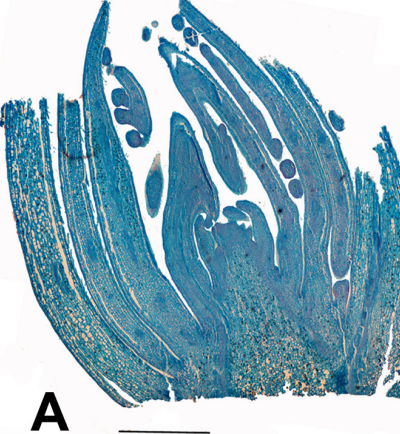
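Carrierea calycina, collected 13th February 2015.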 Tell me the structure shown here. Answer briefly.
Over-wintering bud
